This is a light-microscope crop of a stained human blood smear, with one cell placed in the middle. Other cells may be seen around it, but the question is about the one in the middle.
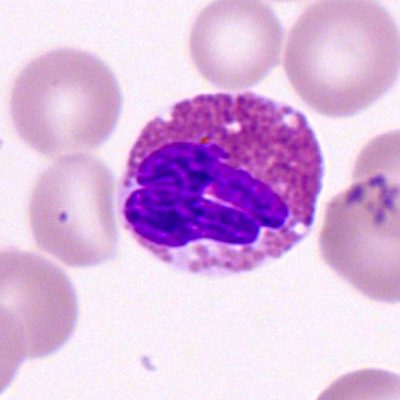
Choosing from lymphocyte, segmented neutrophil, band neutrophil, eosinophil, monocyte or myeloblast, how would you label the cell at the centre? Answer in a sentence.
The cell at the central position in this crop is an eosinophil.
